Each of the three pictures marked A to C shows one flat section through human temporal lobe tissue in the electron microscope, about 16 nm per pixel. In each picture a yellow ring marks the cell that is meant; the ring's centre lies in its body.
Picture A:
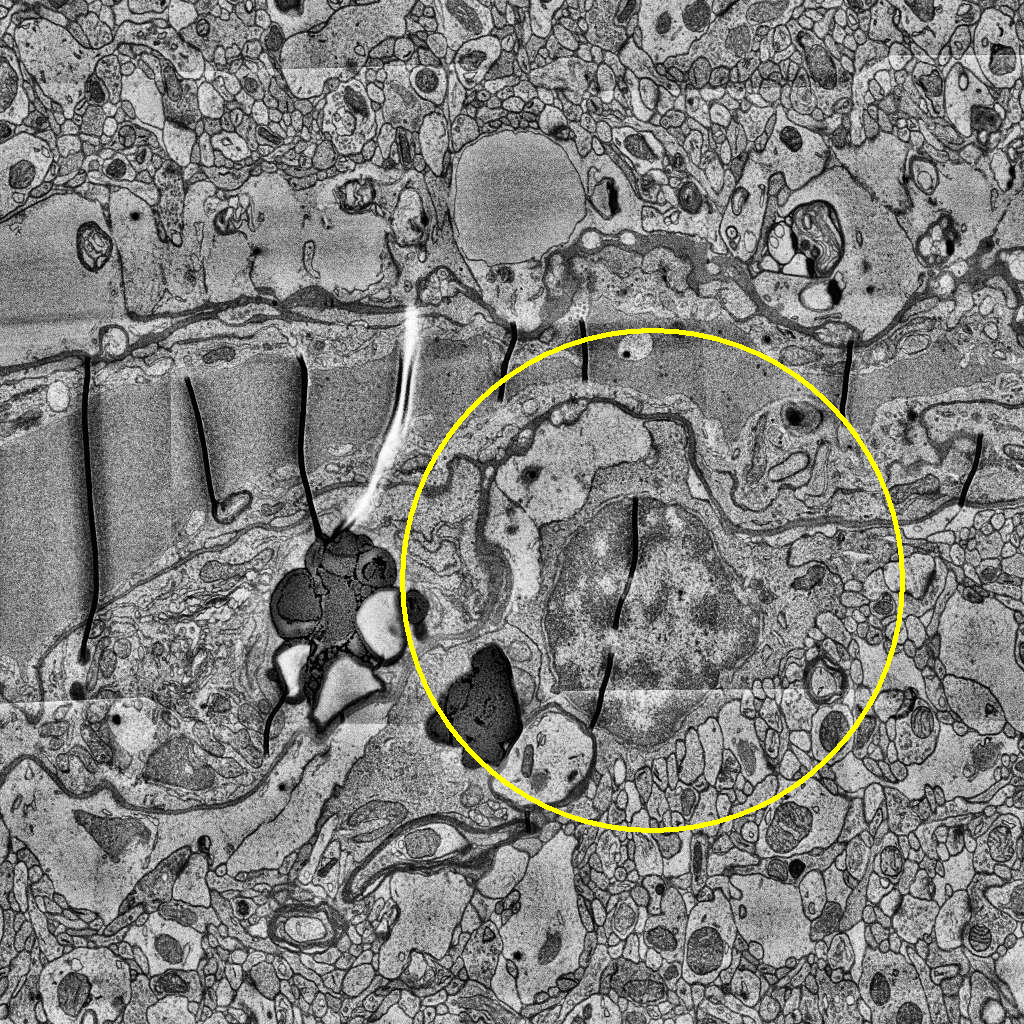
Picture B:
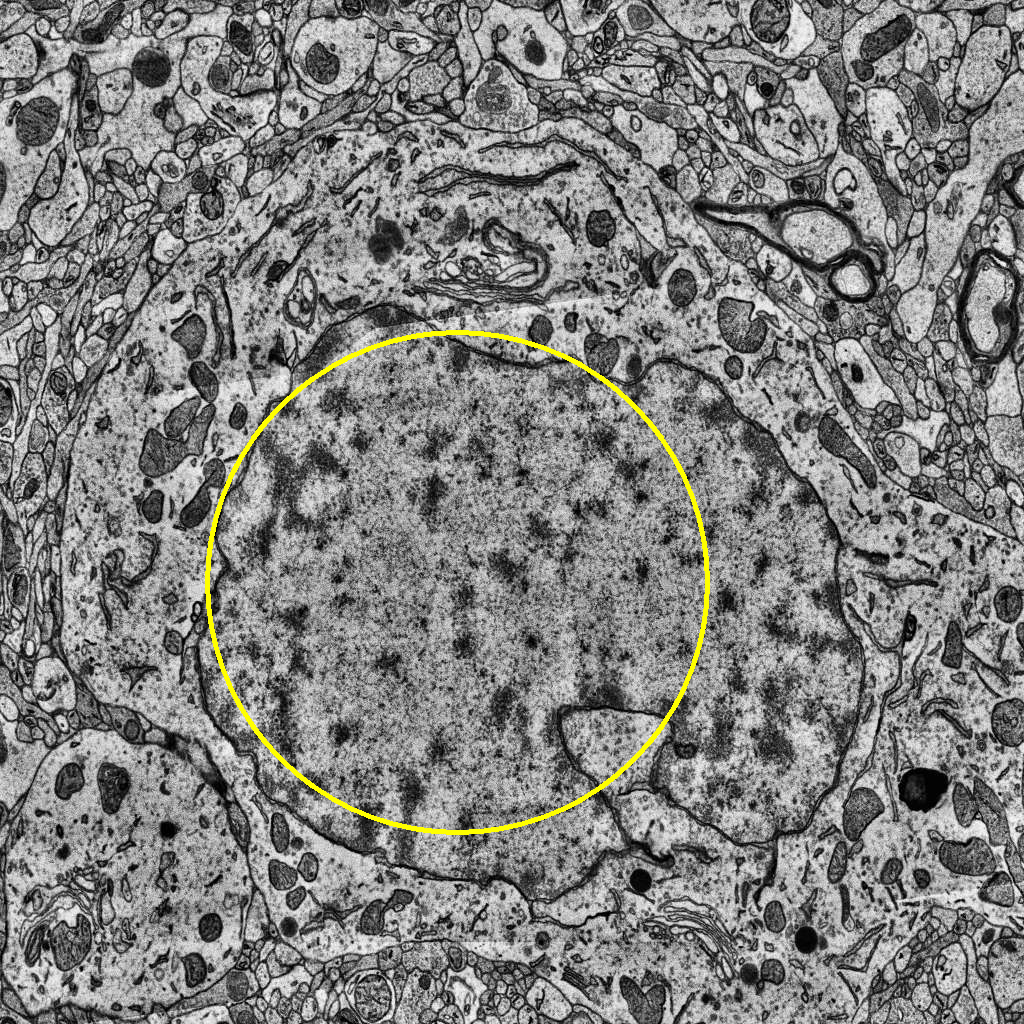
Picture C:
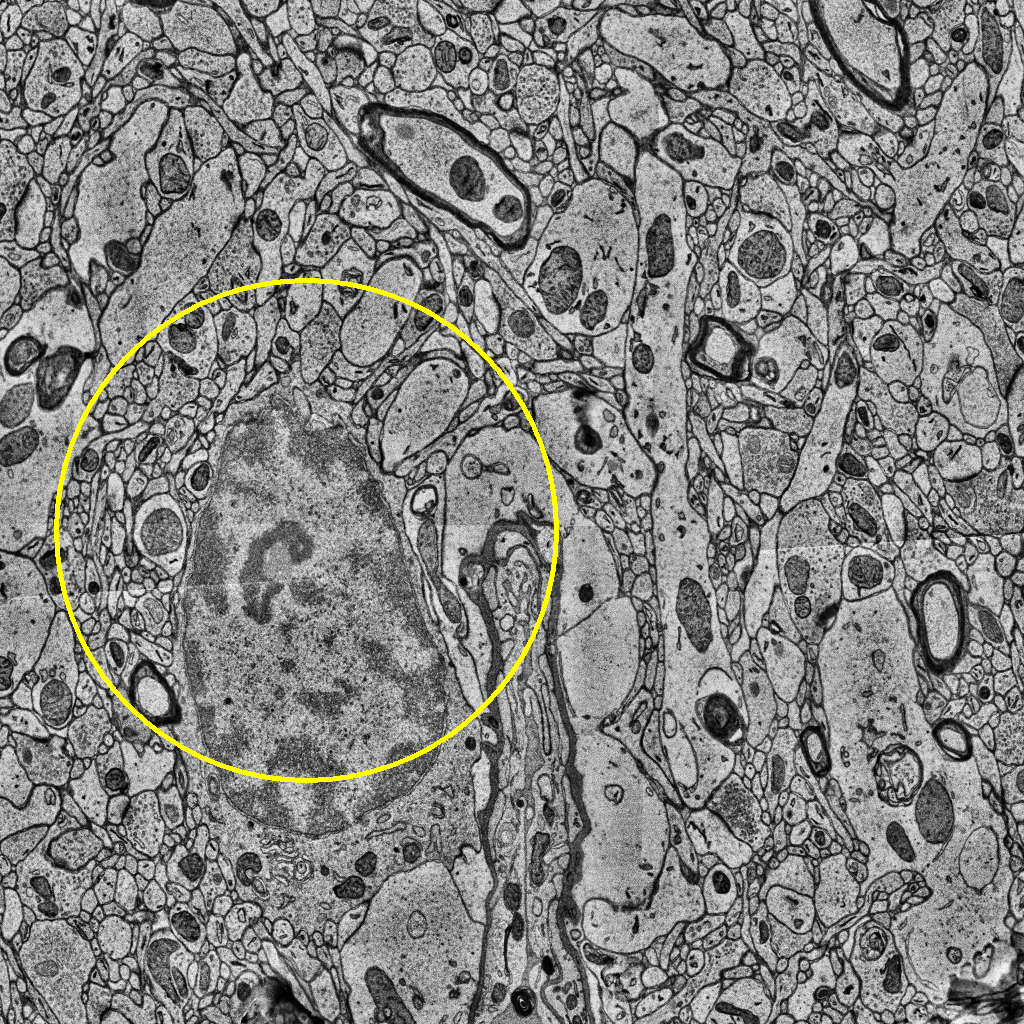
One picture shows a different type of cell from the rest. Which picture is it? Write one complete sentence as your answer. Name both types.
The others show oligodendrocytes, but picture B shows an interneuron.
